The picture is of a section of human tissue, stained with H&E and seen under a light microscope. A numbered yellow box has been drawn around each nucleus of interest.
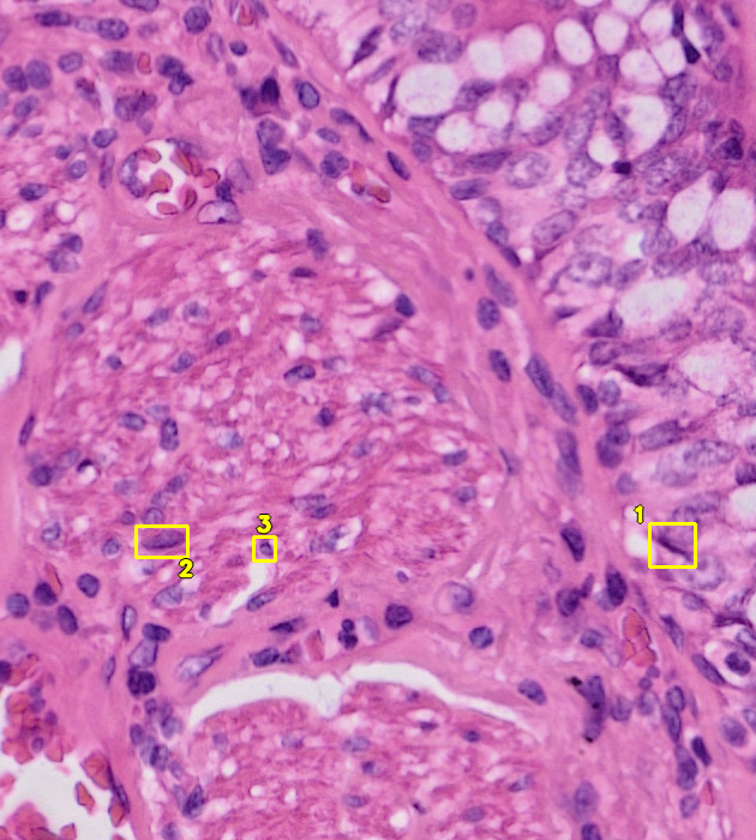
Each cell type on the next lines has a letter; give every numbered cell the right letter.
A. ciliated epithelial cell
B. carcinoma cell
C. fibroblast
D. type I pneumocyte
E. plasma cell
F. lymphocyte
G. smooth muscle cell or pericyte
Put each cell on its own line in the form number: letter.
1: A
2: G
3: G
